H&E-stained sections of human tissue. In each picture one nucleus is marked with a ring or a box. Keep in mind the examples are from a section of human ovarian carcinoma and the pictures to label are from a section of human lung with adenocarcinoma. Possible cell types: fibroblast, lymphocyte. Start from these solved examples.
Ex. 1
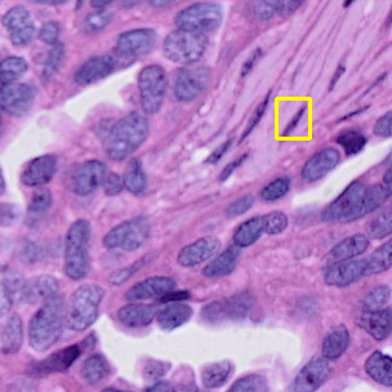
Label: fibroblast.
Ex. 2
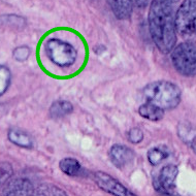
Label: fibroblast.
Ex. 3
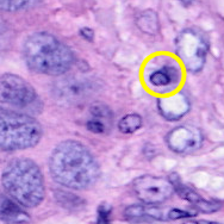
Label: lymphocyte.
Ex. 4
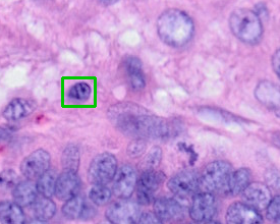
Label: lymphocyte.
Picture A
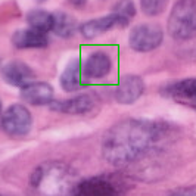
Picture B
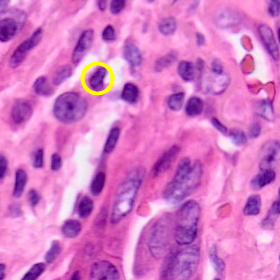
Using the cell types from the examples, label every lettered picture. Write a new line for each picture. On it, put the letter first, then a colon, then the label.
A: lymphocyte.
B: lymphocyte.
